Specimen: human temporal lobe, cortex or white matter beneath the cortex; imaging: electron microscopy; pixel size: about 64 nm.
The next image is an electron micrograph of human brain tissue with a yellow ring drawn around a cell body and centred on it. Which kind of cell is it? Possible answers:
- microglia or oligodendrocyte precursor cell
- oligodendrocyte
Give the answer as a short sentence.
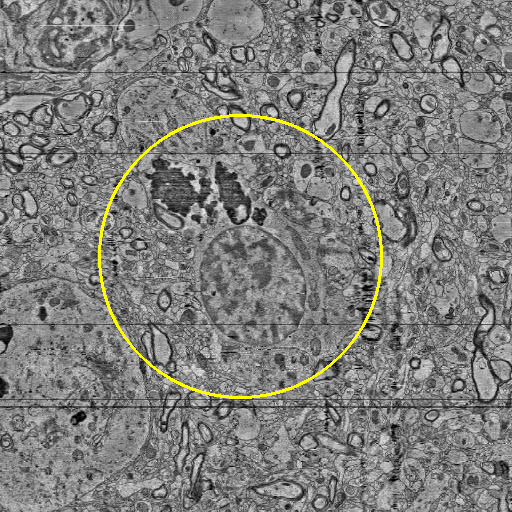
In the ring's centre is an oligodendrocyte.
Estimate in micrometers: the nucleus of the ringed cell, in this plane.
About 8 by 7 micrometers for the nucleus, in this plane.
